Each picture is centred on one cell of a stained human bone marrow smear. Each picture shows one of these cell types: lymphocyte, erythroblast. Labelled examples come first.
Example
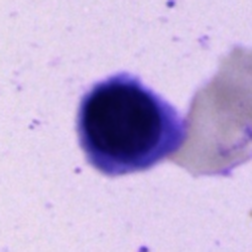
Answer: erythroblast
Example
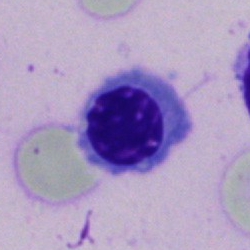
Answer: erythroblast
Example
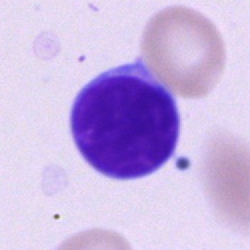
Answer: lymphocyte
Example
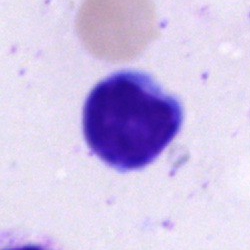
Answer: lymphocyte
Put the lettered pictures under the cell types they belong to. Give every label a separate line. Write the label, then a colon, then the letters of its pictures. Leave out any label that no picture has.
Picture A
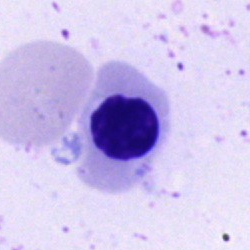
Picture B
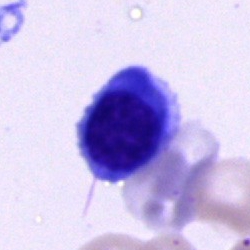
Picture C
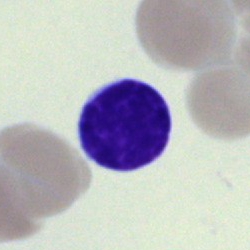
lymphocyte: C
erythroblast: A, B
